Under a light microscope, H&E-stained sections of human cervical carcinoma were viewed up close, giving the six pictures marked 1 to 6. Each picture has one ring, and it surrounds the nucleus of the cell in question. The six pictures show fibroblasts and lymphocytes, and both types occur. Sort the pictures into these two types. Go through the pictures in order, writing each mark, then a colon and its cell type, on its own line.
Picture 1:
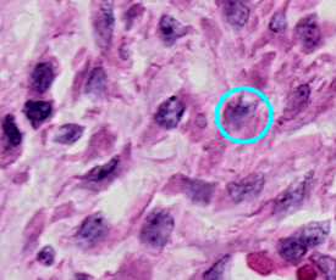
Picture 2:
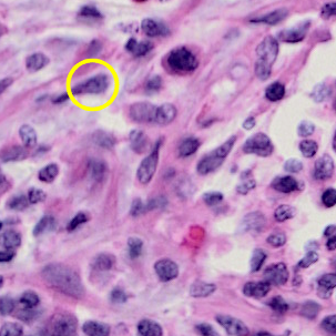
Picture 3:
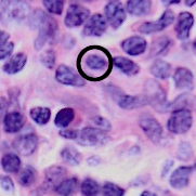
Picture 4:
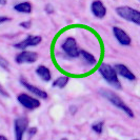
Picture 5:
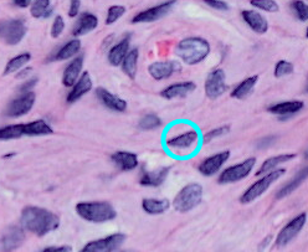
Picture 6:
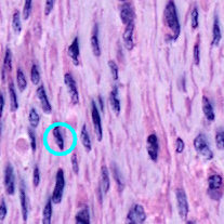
1: fibroblast
2: lymphocyte
3: lymphocyte
4: fibroblast
5: fibroblast
6: fibroblast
